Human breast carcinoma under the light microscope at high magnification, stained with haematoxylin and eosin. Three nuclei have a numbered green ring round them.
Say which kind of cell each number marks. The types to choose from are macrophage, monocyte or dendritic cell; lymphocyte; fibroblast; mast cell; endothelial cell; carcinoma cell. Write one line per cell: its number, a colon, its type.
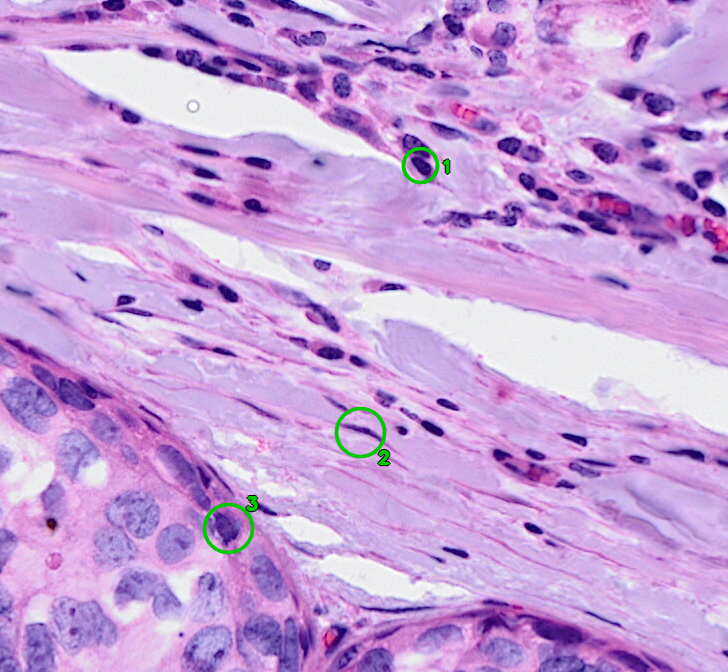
1: lymphocyte
2: fibroblast
3: carcinoma cell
